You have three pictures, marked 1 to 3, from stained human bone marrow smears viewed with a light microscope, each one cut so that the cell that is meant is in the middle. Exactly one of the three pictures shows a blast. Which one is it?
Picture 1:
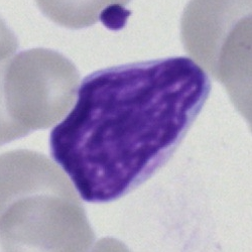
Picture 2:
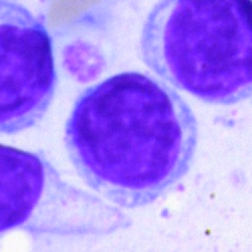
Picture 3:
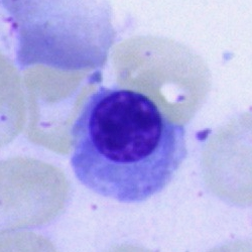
1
